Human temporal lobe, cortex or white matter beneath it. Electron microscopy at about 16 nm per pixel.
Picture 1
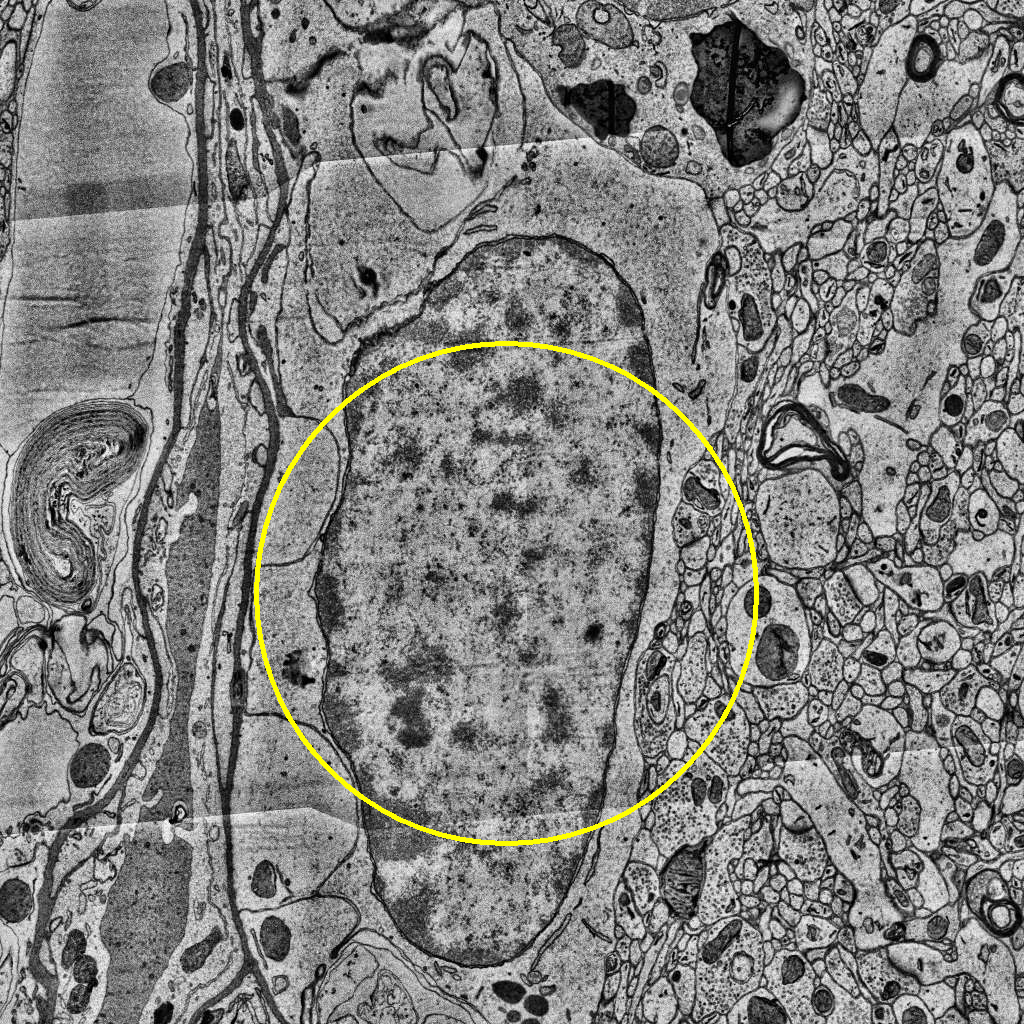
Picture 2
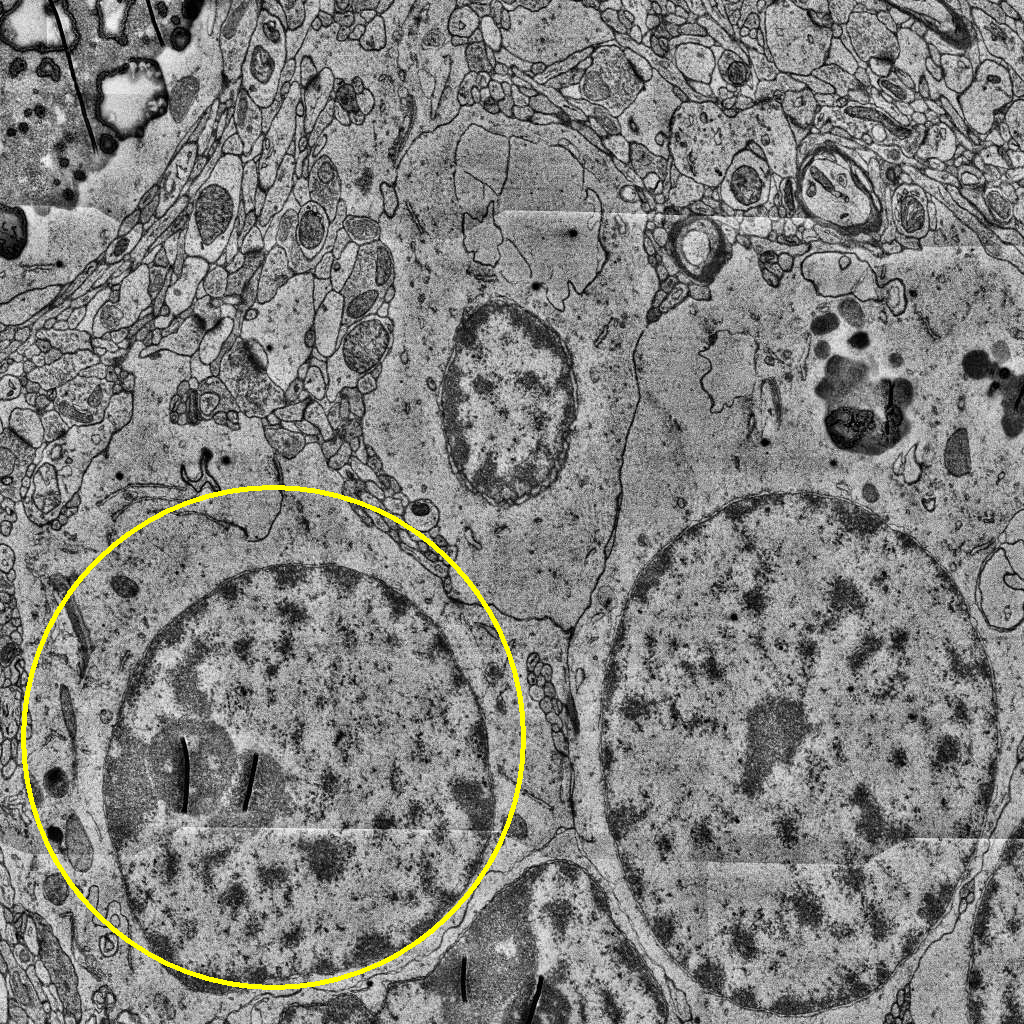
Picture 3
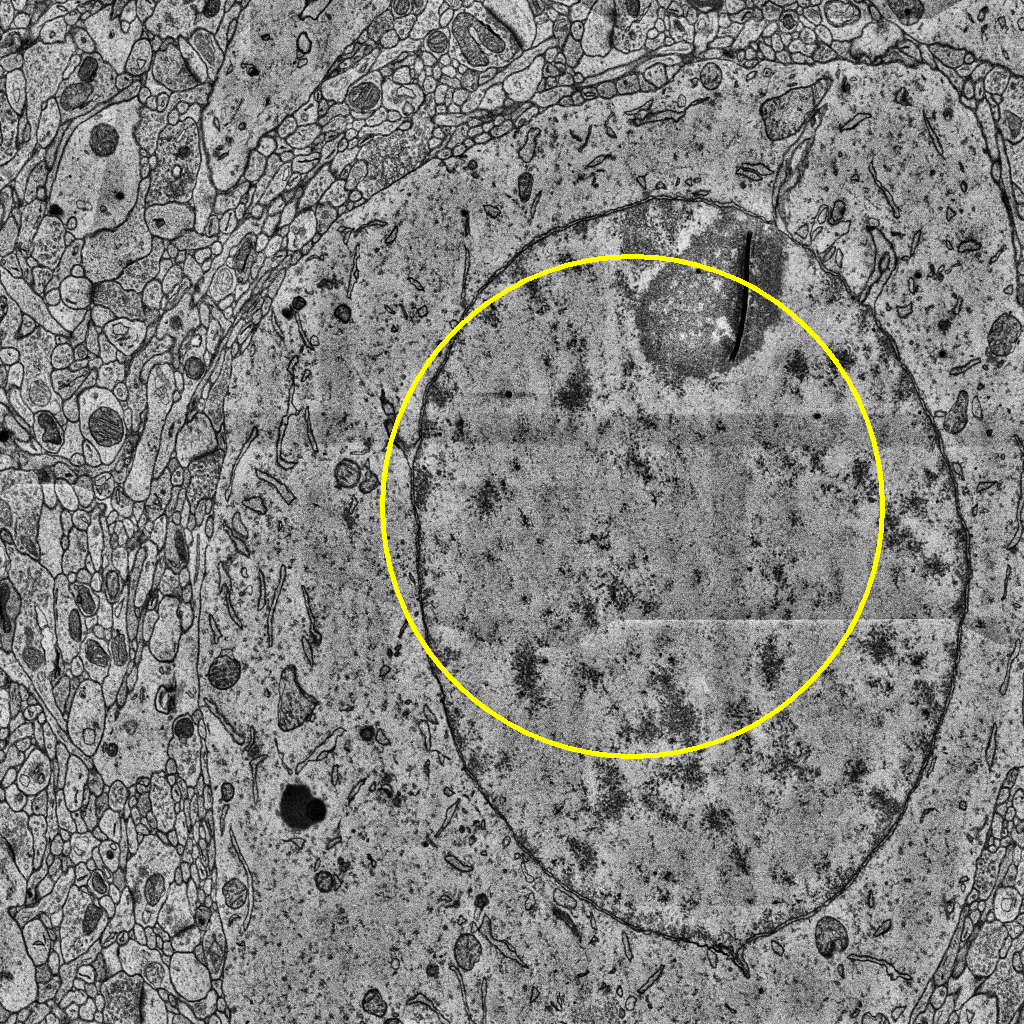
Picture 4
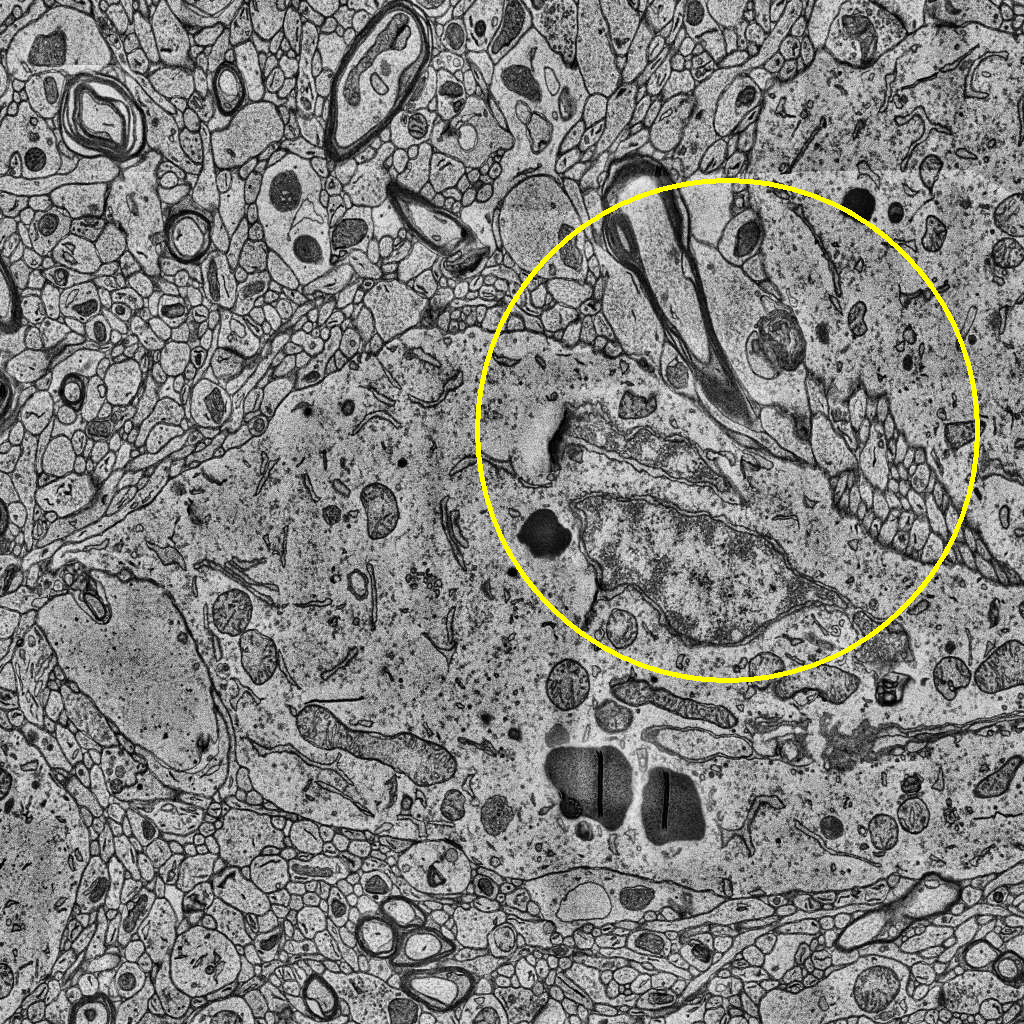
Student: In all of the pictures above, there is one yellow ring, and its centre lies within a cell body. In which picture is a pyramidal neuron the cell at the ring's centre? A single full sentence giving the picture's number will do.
Picture number 3 has the centre of its ring lying inside the wanted cell.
